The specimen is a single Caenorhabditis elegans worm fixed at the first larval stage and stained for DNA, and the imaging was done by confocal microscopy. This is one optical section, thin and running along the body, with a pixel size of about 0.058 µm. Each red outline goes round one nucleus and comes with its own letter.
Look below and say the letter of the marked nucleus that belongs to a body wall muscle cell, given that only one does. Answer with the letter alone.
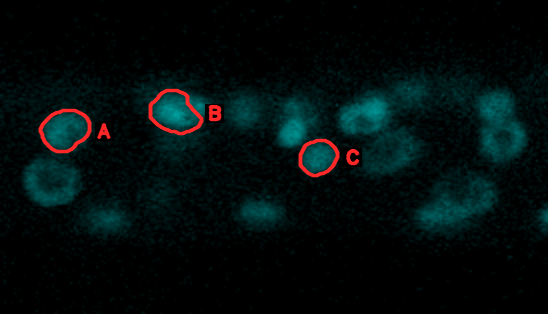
B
